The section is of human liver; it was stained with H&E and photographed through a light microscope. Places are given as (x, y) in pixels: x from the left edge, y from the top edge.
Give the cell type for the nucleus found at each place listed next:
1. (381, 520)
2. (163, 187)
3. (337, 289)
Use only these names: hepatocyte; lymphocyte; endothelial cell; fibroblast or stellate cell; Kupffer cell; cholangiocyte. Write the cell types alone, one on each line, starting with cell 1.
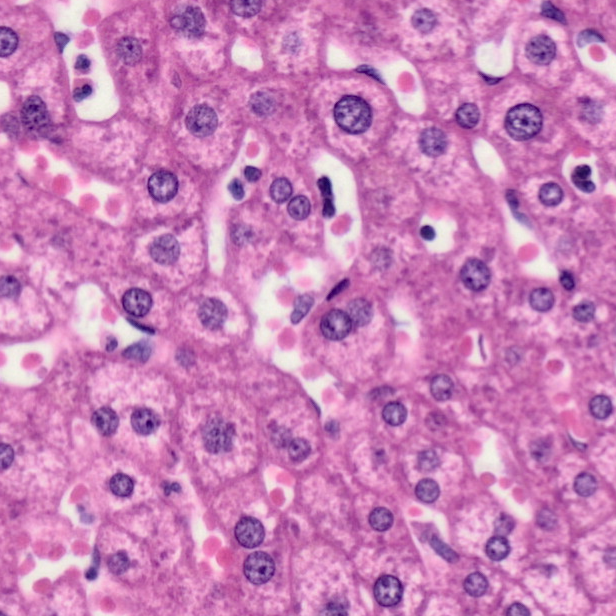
hepatocyte
hepatocyte
fibroblast or stellate cell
